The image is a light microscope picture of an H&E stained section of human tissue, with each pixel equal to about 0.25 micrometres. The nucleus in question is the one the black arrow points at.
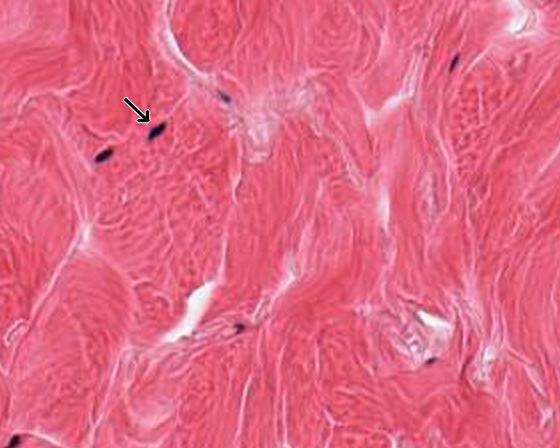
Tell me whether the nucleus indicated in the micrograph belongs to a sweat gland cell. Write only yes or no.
no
